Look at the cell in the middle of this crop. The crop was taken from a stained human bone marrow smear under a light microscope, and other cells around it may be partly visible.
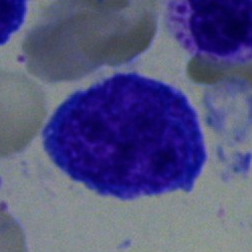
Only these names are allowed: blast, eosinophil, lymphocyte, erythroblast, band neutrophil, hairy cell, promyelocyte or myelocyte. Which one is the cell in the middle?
blast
